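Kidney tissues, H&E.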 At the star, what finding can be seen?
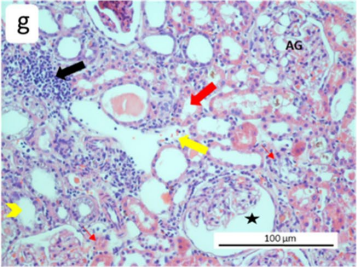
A: Bowman's space dilation.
